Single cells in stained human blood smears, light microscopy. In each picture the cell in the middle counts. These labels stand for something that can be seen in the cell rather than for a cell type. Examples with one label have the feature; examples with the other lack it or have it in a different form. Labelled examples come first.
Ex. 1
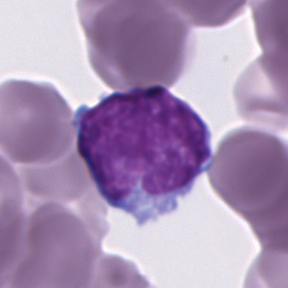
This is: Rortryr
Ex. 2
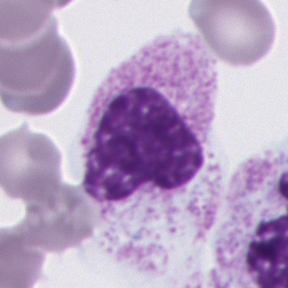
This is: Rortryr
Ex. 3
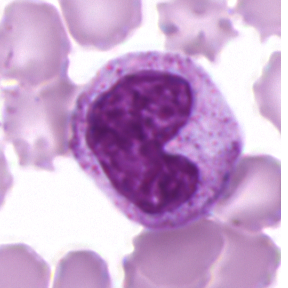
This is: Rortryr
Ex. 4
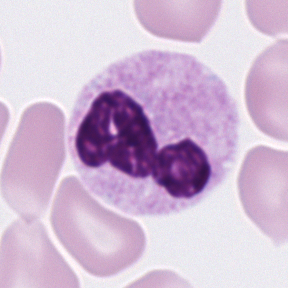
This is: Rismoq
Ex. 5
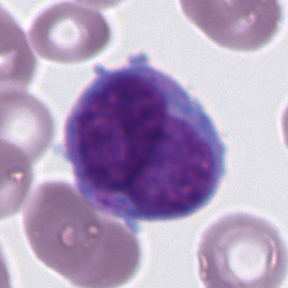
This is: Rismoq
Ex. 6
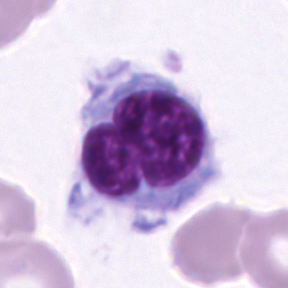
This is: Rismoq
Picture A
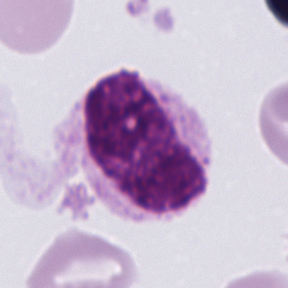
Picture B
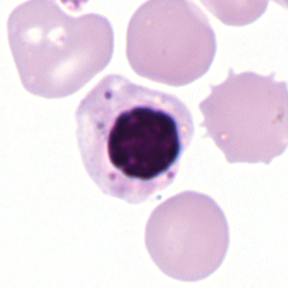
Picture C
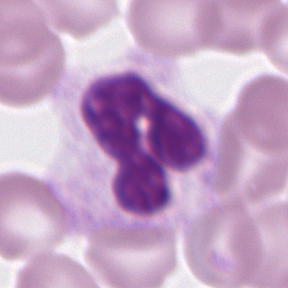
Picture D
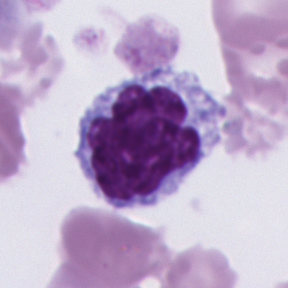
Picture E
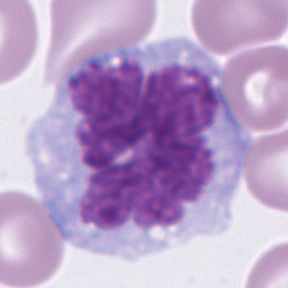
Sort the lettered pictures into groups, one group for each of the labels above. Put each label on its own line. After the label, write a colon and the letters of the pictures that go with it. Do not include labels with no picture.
Rortryr: A, B
Rismoq: C, D, E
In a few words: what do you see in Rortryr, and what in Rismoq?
In Rortryr: single compact nucleus. In Rismoq: lobed nucleus.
